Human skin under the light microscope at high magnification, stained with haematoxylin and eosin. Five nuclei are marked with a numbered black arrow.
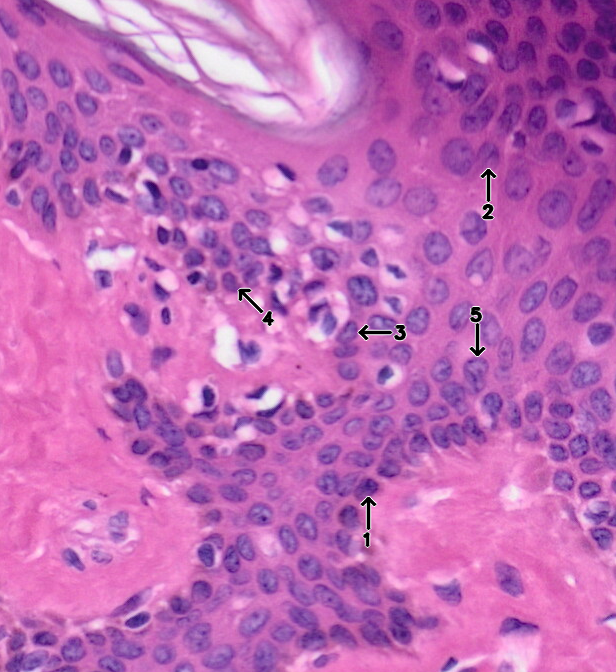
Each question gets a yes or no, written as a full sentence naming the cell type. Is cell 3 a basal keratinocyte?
Yes, the cell shown as number 3 is a basal keratinocyte.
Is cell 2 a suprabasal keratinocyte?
Yes, the cell marked with number 2 is a suprabasal keratinocyte.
